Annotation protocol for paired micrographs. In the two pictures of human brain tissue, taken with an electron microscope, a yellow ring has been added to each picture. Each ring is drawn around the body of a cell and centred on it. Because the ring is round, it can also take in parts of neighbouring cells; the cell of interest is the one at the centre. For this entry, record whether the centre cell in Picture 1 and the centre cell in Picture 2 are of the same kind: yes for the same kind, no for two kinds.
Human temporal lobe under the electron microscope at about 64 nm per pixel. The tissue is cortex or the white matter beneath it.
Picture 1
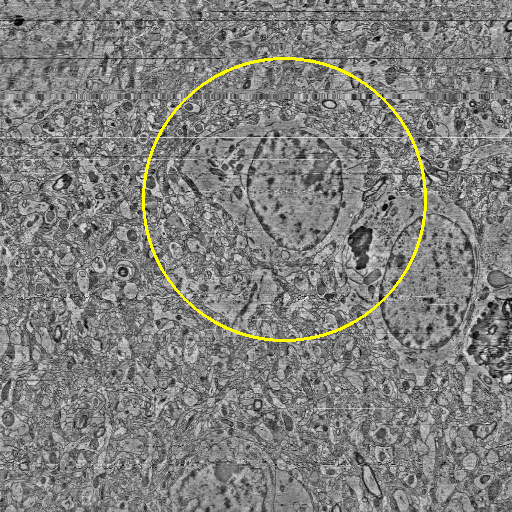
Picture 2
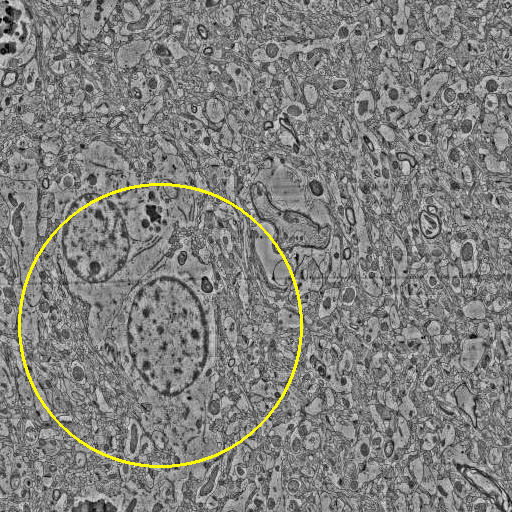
yes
